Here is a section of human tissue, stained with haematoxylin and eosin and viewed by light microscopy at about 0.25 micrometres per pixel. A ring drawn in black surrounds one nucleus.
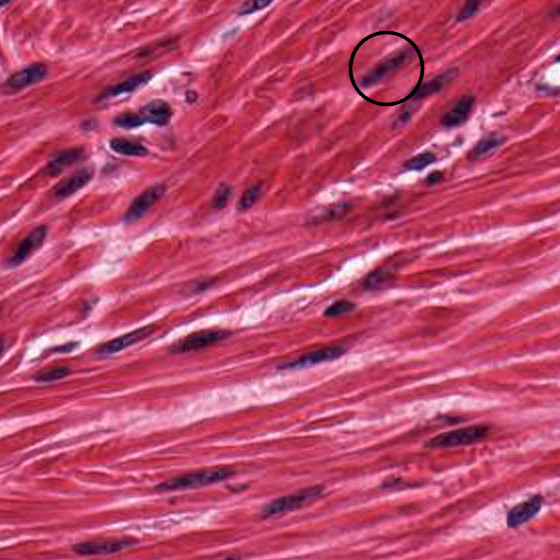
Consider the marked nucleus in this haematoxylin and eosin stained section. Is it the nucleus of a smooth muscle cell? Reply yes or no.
yes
